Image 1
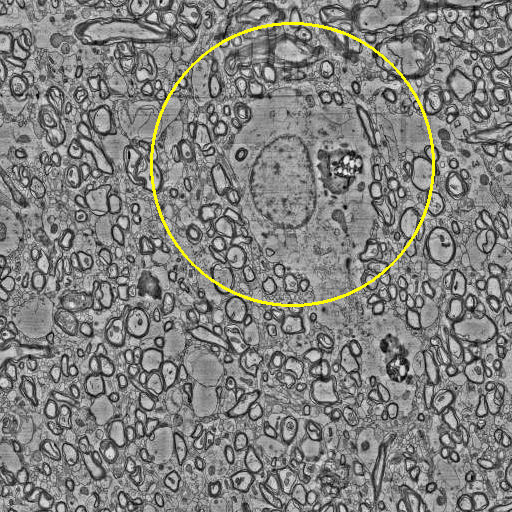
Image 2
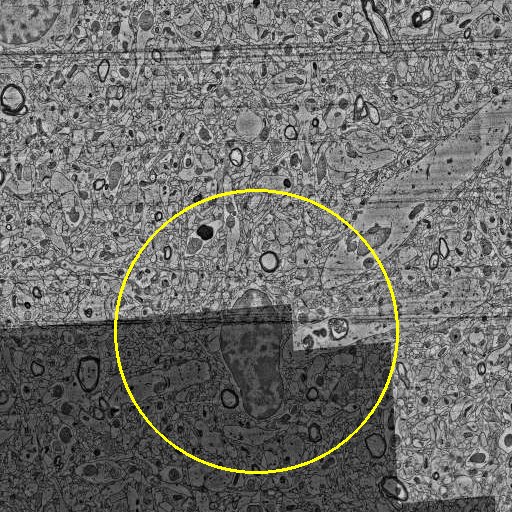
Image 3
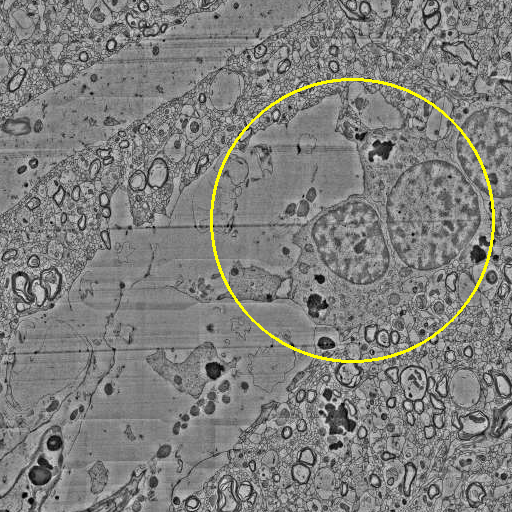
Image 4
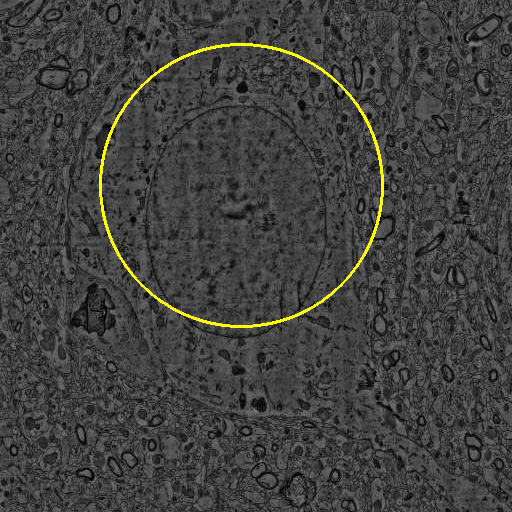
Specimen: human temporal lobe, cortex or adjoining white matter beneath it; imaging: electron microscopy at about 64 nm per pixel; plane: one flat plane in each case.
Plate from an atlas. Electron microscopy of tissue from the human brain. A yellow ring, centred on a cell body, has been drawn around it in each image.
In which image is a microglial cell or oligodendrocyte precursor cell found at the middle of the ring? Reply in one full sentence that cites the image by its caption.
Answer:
The requested cell is the one at the ring's centre in Image 2.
